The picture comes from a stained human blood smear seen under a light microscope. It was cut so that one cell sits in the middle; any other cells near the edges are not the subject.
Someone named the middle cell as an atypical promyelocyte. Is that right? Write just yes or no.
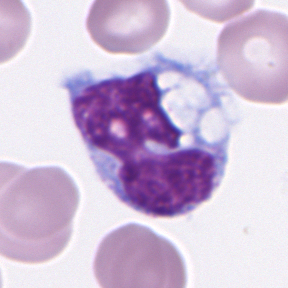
no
